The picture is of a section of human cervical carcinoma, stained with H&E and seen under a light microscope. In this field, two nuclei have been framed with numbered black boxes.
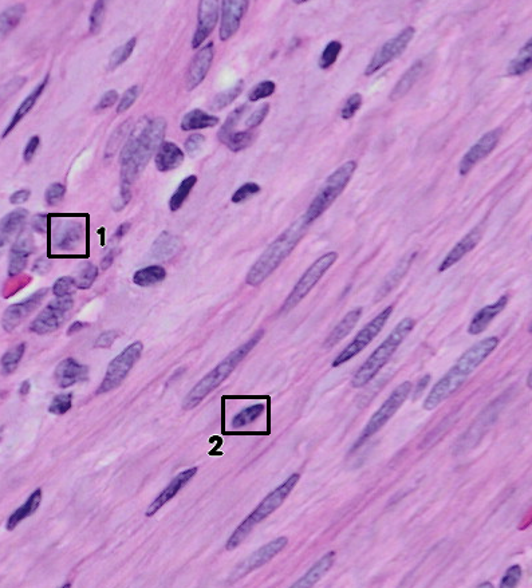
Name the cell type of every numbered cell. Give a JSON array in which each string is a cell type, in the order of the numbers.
["endothelial cell", "lymphocyte"]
